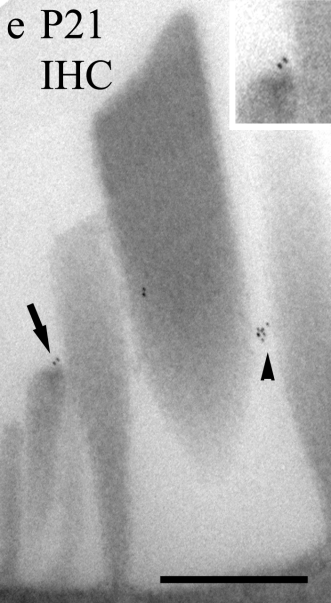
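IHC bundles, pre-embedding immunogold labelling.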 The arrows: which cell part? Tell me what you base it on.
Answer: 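Tips of shorter rows of stereocilia. The arrow points at the top of a short projection beside a taller one. A small cluster of gold particles lies at that top.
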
